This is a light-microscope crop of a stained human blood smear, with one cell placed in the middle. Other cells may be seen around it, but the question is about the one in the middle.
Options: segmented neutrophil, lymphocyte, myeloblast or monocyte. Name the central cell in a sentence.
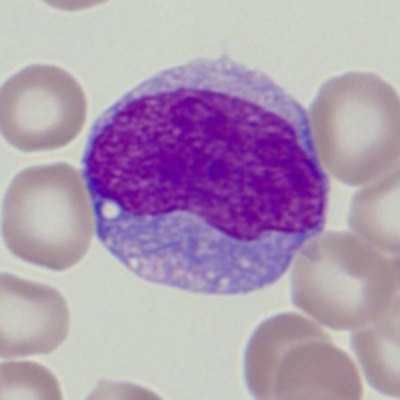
Where the crop is centred, there is a monocyte.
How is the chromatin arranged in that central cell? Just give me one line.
The key point is fine chromatin with no coarse clumps.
